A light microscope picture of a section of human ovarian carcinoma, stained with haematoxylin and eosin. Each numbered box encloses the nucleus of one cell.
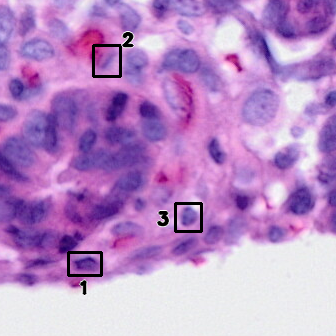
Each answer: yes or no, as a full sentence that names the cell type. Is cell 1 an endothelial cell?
No, cell 1 is not an endothelial cell; it is a macrophage or monocyte.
